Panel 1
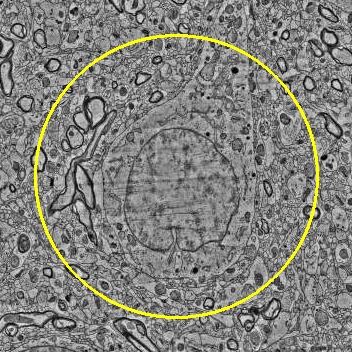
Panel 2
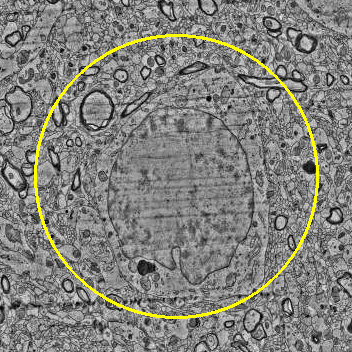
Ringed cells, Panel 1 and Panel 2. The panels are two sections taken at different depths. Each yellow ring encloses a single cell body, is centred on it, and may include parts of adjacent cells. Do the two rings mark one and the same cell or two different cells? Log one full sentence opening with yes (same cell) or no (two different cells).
Yes, the first and second rings frame the same single cell.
